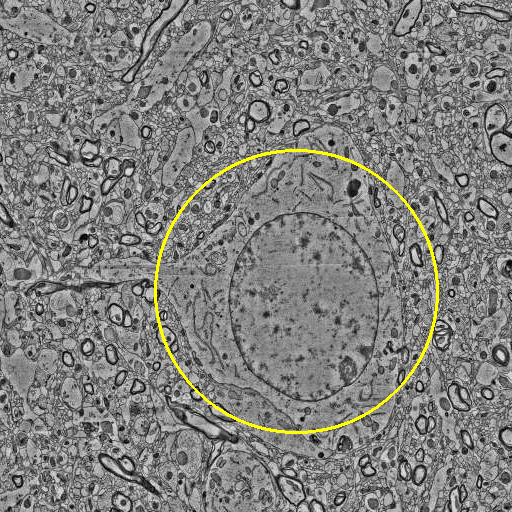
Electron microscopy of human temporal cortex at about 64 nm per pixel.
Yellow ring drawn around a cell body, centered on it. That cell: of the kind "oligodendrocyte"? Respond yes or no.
no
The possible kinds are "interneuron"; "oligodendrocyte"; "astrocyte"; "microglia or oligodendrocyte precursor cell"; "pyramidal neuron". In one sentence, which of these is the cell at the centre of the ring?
The cell this ring marks is a pyramidal neuron.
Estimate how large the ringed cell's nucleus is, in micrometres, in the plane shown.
The nucleus measures about 12 by 10 micrometres in this plane.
